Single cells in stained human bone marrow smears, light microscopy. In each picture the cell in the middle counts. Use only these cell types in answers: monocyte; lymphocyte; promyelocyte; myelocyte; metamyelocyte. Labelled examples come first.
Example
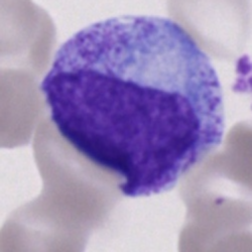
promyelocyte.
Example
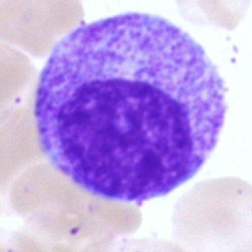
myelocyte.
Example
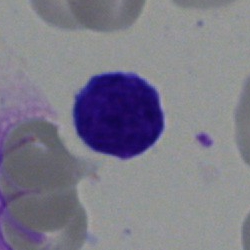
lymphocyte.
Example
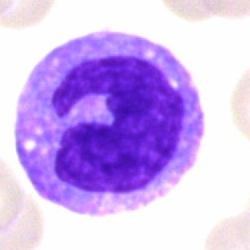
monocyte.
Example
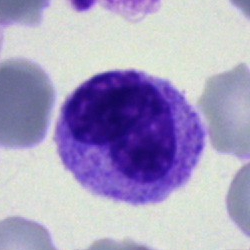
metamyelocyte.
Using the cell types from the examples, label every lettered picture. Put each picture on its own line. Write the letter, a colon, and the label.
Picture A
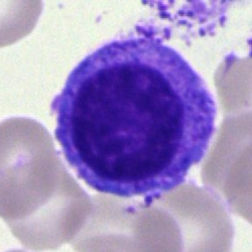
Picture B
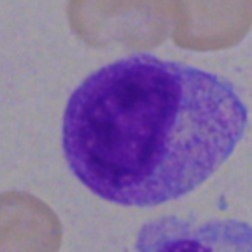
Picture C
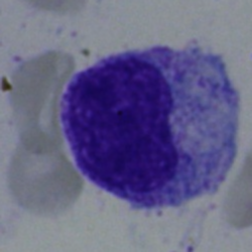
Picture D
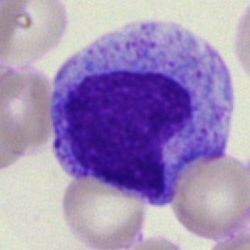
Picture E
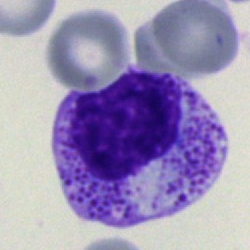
A: myelocyte.
B: myelocyte.
C: myelocyte.
D: metamyelocyte.
E: myelocyte.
